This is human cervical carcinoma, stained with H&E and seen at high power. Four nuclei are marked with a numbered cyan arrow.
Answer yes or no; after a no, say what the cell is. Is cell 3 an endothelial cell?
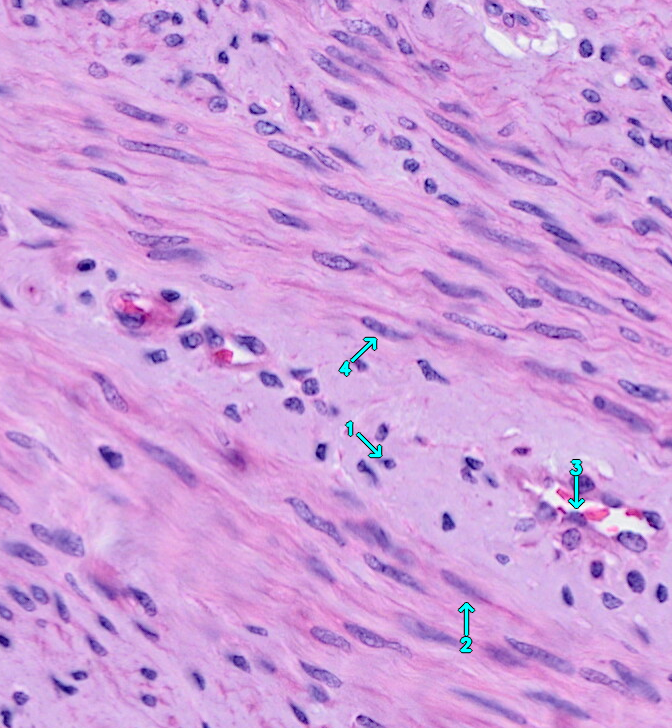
Yes.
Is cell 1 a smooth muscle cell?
No, it is a fibroblast.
